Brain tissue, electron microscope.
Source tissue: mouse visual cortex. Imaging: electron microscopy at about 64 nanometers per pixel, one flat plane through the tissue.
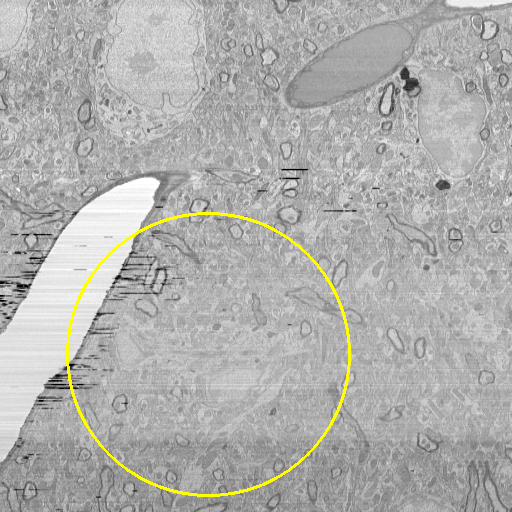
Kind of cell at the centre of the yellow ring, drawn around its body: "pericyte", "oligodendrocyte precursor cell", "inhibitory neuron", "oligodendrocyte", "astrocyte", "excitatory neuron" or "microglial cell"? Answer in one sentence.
The ring's centre falls on an oligodendrocyte precursor cell.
